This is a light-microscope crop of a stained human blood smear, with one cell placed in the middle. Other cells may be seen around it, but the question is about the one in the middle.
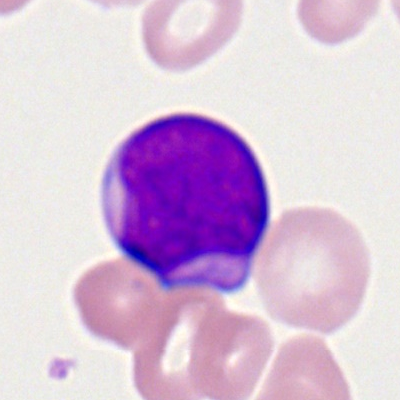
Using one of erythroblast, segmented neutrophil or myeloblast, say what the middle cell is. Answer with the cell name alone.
myeloblast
